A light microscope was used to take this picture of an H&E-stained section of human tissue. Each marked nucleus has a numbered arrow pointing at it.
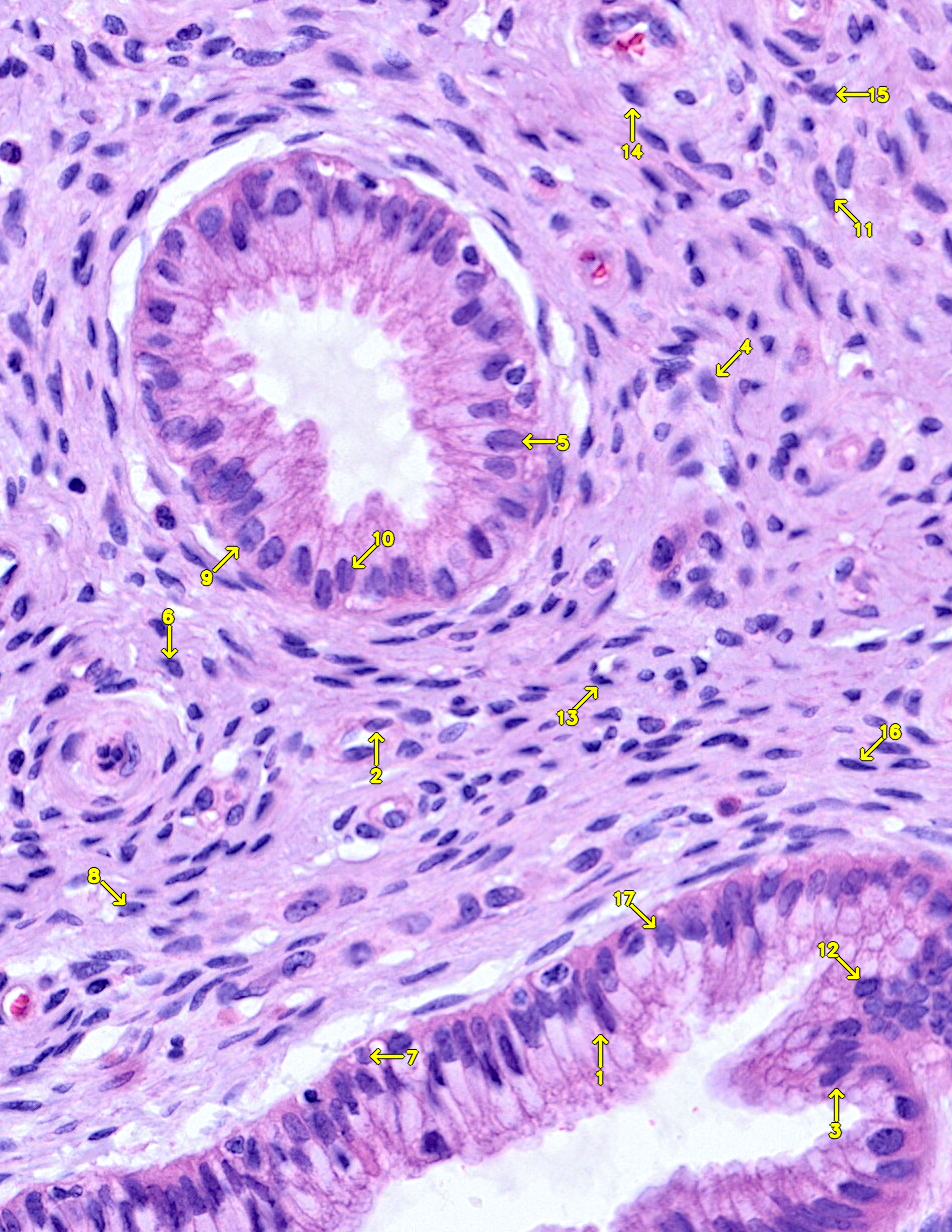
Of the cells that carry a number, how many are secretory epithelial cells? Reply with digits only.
8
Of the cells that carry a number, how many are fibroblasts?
8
